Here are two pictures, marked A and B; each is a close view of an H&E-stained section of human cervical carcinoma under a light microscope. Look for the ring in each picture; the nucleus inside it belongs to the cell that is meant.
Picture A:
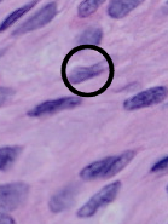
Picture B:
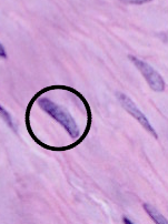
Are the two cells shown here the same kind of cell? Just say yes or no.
yes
